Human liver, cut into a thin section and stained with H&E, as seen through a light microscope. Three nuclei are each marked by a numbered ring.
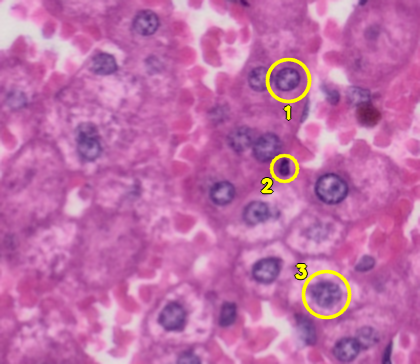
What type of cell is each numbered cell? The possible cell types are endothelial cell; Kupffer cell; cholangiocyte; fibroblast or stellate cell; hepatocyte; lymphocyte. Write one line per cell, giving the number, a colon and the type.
1: hepatocyte
2: fibroblast or stellate cell
3: hepatocyte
